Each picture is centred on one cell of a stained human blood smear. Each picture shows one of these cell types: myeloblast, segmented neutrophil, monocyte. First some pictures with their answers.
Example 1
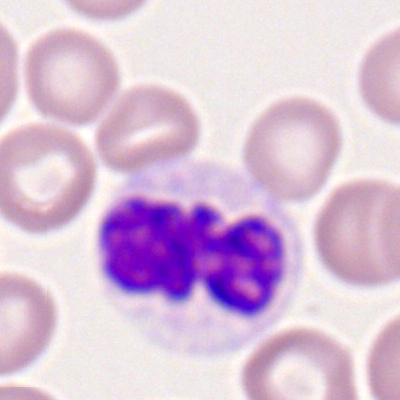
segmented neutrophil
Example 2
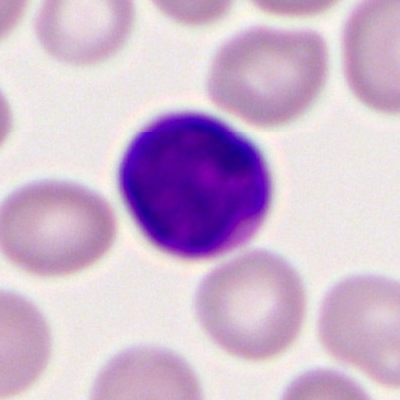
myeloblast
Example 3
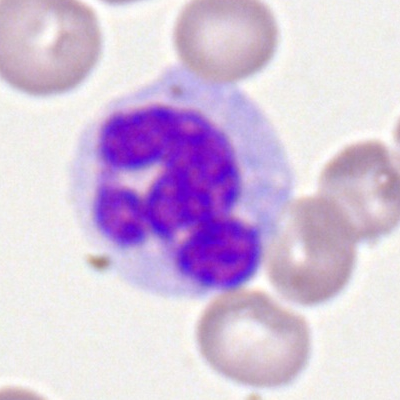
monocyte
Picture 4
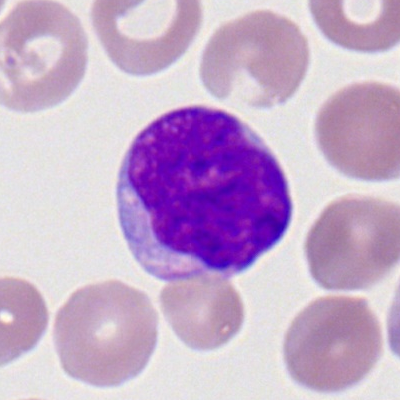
myeloblast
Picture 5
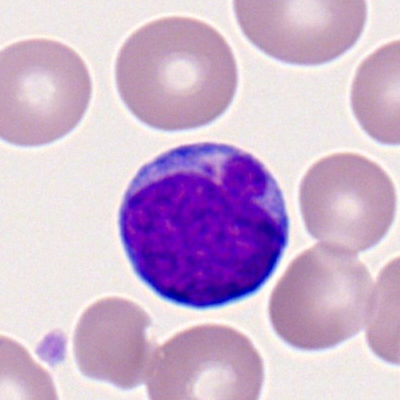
myeloblast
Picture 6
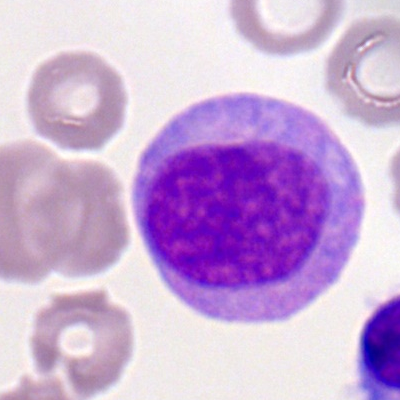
monocyte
